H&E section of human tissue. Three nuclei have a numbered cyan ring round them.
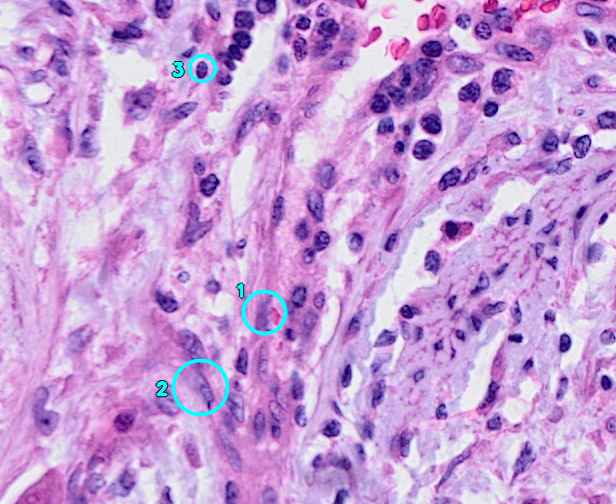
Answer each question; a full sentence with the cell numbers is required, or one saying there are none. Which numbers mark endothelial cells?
Cells 1 and 2 in the section are typed as endothelial cells.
